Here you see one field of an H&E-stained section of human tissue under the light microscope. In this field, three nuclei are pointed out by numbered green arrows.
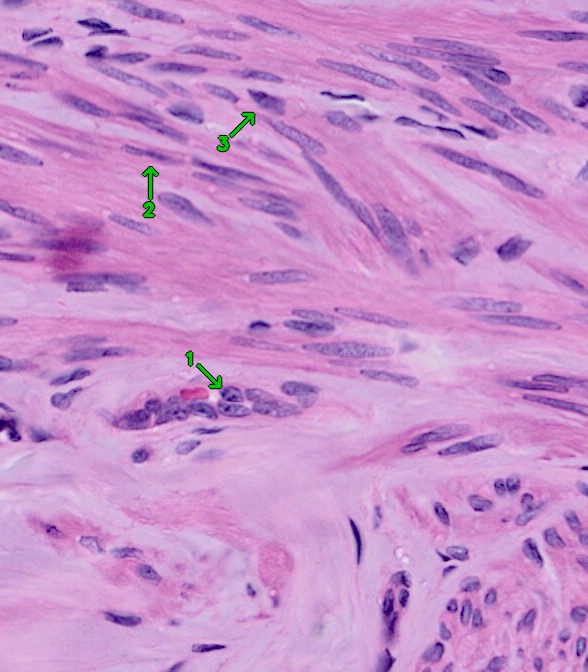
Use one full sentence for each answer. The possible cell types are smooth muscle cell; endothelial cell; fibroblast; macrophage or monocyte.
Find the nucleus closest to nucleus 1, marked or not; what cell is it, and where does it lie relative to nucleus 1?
An endothelial cell lies closest, below nucleus 1.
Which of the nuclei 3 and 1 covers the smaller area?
The smaller nucleus is 1, and 3 covers roughly 1.5 times its area.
